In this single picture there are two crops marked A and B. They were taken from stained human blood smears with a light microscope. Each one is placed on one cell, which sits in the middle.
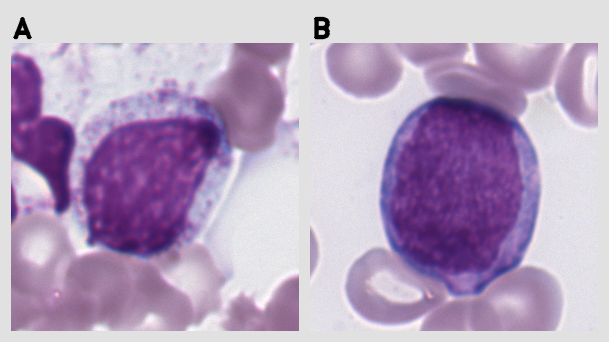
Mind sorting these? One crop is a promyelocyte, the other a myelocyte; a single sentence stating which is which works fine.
Whereas crop A contains a myelocyte, crop B contains a promyelocyte.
